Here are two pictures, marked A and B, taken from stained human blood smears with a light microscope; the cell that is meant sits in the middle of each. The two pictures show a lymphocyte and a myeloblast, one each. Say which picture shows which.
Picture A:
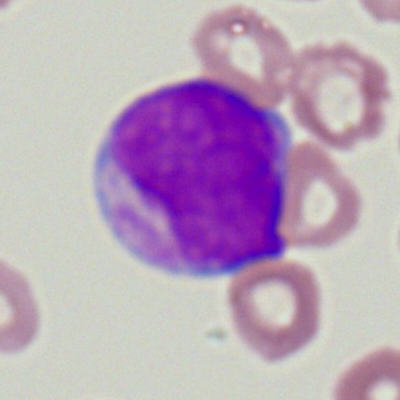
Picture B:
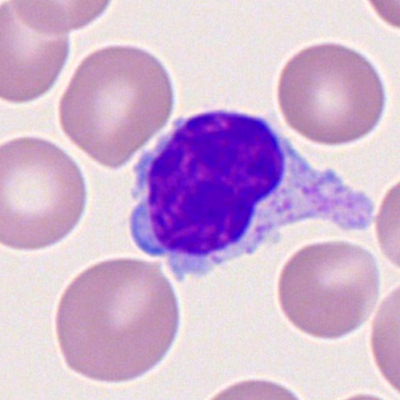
A: myeloblast
B: lymphocyte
